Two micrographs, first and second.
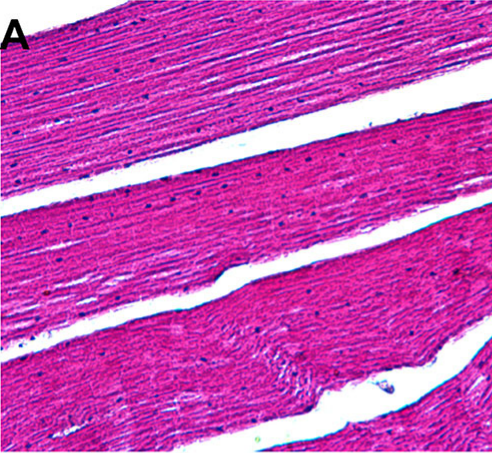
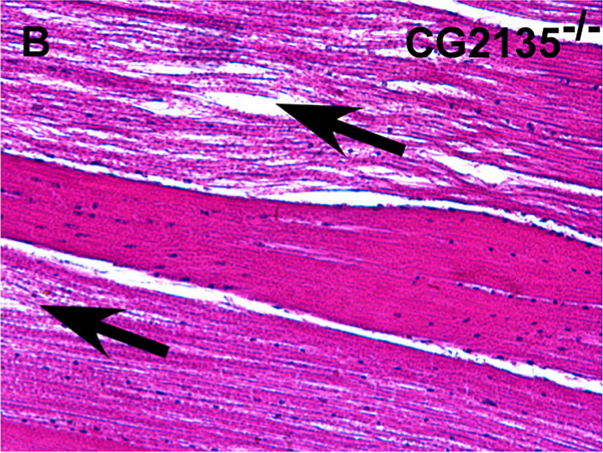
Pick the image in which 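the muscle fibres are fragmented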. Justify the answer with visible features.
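The second image. Second image: two bundles are pale and frayed with gaps and broken strands.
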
